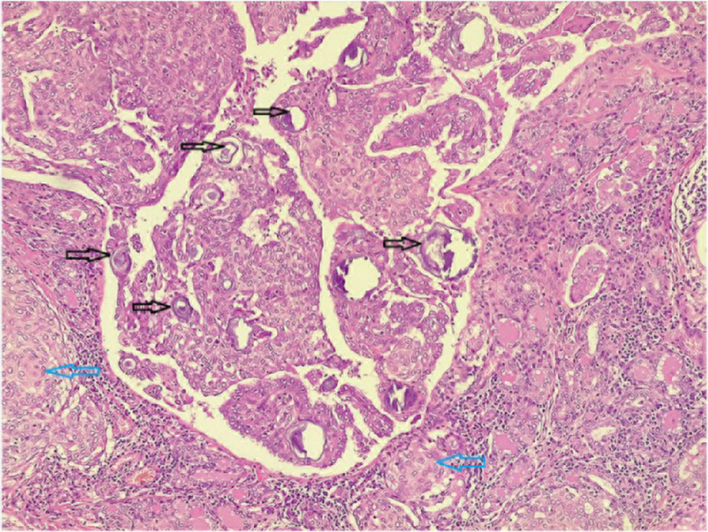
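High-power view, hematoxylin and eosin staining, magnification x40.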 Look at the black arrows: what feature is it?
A: Psammoma bodies.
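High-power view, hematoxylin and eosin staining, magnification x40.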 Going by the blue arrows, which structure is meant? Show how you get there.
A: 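The arrows point to compact sheets of epithelial cells without lumina or colloid. That points to this answer: solid areas.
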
